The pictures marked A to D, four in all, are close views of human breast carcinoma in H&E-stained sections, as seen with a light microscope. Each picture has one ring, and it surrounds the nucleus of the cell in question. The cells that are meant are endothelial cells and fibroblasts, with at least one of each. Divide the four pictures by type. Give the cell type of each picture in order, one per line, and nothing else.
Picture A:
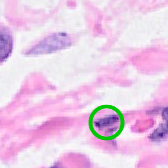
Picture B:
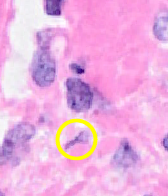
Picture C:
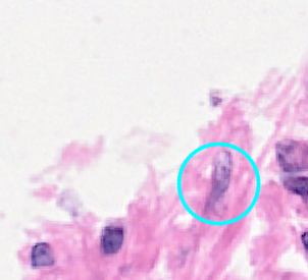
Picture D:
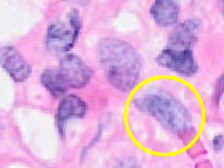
endothelial cell
fibroblast
fibroblast
endothelial cell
